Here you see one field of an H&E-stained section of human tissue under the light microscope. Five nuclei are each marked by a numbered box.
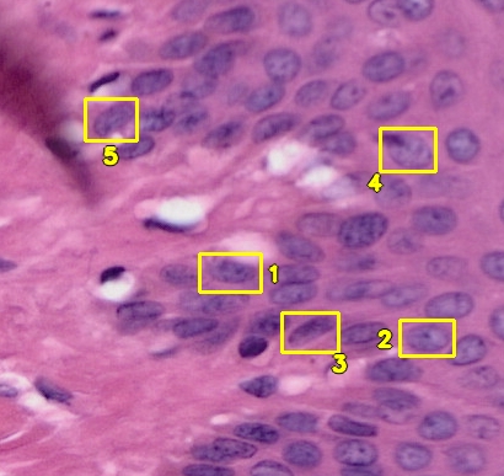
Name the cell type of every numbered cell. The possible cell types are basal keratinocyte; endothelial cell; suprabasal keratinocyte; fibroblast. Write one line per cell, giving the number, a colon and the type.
1: basal keratinocyte
2: suprabasal keratinocyte
3: basal keratinocyte
4: suprabasal keratinocyte
5: basal keratinocyte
